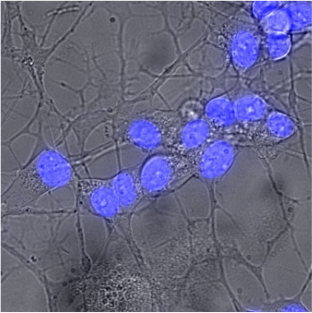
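Cultured cells are seen in bright field, with blue oval nuclei in small compact cell bodies gathered in groups. Long thin processes run out from these bodies and criss-cross the field, giving the culture a more neuron-like look.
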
